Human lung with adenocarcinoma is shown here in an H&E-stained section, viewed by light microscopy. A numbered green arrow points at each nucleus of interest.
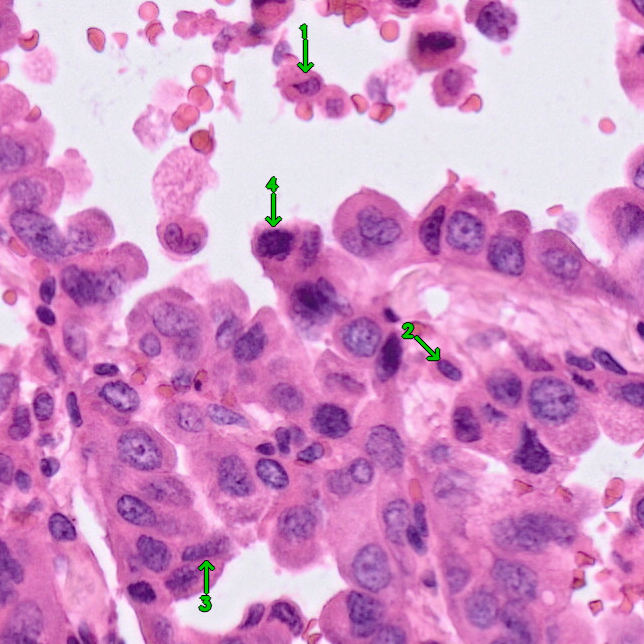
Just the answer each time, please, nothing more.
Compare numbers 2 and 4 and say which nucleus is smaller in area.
2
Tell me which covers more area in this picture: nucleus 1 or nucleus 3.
3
